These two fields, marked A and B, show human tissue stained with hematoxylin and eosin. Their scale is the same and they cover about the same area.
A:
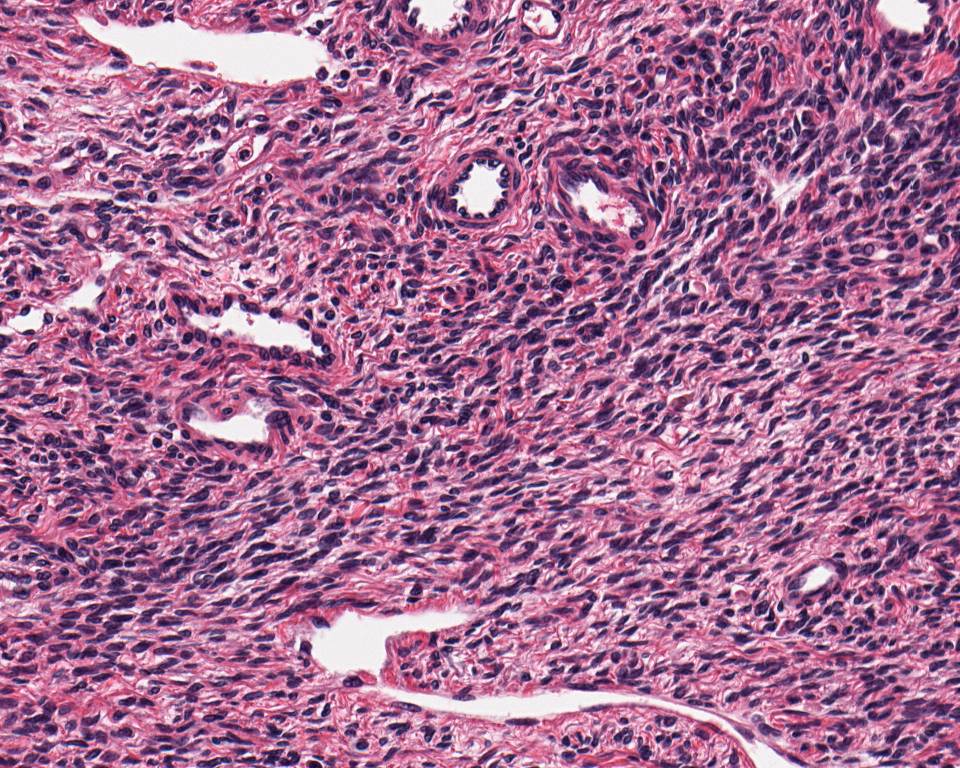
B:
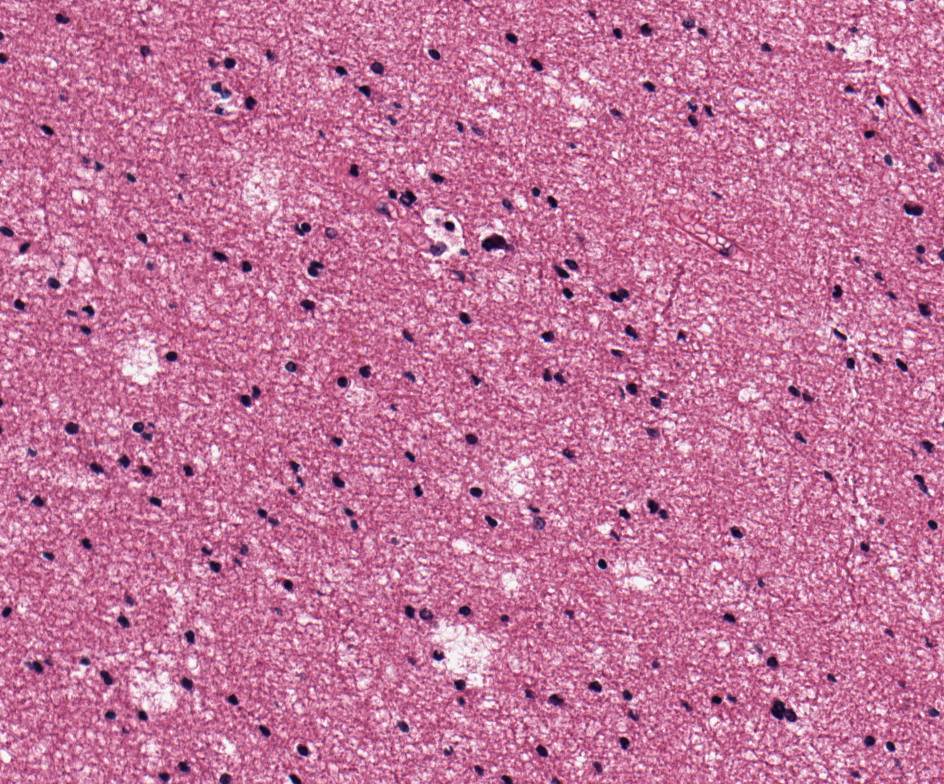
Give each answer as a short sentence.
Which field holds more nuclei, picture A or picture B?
There are more nuclei in picture A.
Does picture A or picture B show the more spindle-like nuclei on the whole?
It is picture A whose nuclei are the more elongated.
